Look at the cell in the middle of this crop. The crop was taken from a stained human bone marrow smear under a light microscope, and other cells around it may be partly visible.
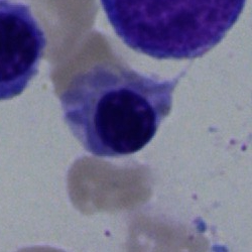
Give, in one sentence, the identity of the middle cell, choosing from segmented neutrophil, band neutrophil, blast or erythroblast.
Within this crop, an erythroblast occupies the central position.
